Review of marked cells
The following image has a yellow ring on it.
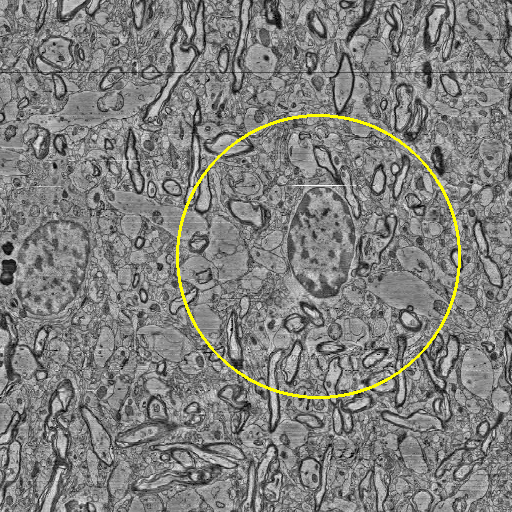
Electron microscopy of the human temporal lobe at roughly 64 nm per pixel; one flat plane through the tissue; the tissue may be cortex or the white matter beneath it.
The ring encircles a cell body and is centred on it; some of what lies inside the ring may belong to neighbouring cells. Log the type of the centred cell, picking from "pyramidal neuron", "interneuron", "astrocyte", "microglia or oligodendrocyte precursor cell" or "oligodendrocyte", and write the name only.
microglia or oligodendrocyte precursor cell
